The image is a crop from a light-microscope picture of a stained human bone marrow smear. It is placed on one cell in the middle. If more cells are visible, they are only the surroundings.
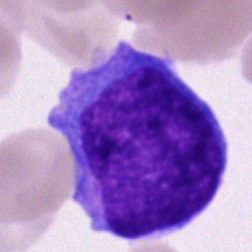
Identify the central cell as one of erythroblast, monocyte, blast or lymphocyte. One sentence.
The central element of this crop is a cell, namely a blast.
